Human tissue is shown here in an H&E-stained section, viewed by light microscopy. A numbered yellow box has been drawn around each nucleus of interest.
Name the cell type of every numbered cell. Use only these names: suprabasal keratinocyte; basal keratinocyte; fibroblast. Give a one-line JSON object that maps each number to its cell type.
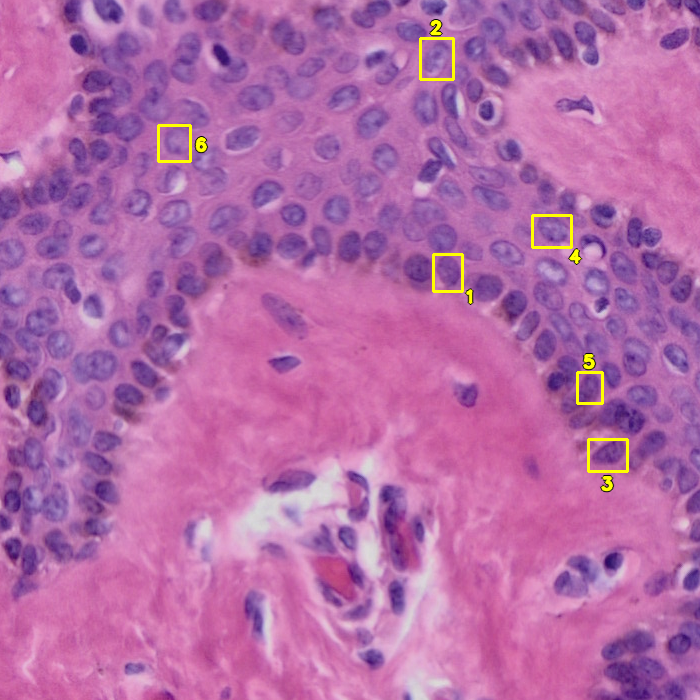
{"1": "basal keratinocyte", "2": "suprabasal keratinocyte", "3": "basal keratinocyte", "4": "suprabasal keratinocyte", "5": "basal keratinocyte", "6": "suprabasal keratinocyte"}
